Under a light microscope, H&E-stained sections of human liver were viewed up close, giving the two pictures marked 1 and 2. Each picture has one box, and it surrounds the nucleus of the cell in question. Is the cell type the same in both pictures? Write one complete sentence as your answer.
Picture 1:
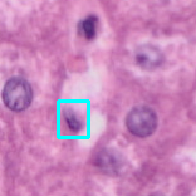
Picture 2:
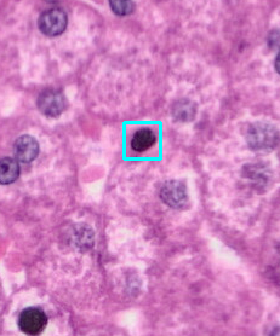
Yes; the cells in both pictures are Kupffer cells.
